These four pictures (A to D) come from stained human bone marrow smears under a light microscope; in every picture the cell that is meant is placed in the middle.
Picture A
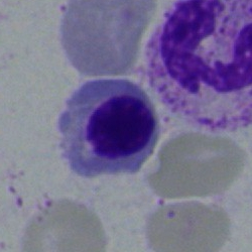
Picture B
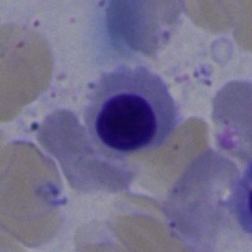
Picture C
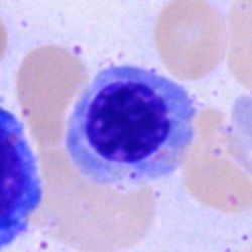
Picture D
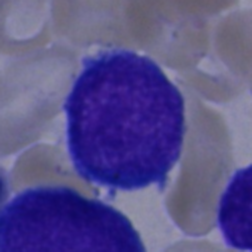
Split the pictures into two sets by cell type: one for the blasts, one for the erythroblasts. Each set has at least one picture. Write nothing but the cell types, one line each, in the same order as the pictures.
erythroblast
erythroblast
erythroblast
blast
